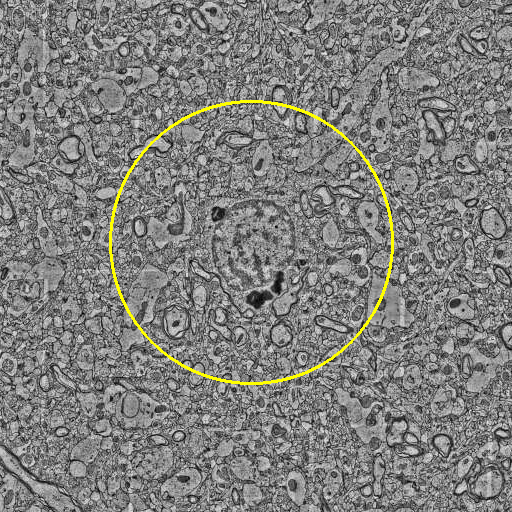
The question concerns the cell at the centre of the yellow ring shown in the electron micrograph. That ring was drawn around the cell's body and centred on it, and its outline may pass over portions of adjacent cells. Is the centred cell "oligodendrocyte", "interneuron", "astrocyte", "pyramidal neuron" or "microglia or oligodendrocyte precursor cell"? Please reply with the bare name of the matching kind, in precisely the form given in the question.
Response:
oligodendrocyte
